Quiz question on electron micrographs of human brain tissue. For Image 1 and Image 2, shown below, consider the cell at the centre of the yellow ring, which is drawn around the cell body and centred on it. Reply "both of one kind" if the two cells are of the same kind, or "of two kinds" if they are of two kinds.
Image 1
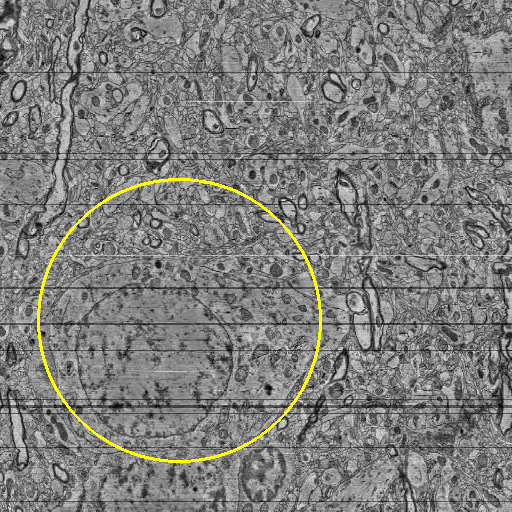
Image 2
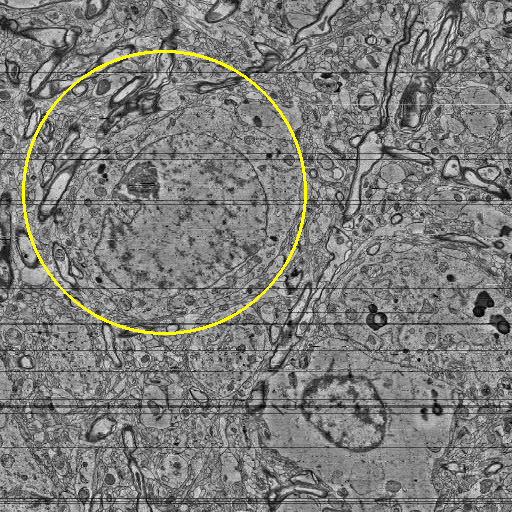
both of one kind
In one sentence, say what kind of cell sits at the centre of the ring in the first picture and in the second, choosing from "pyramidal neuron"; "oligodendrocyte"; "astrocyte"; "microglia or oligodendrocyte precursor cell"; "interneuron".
In each picture the ringed cell is a pyramidal neuron.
